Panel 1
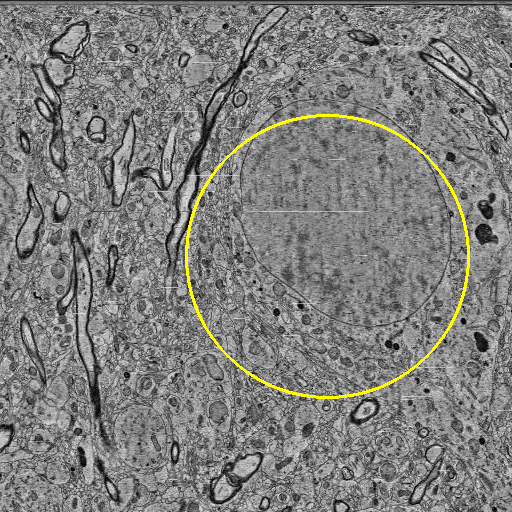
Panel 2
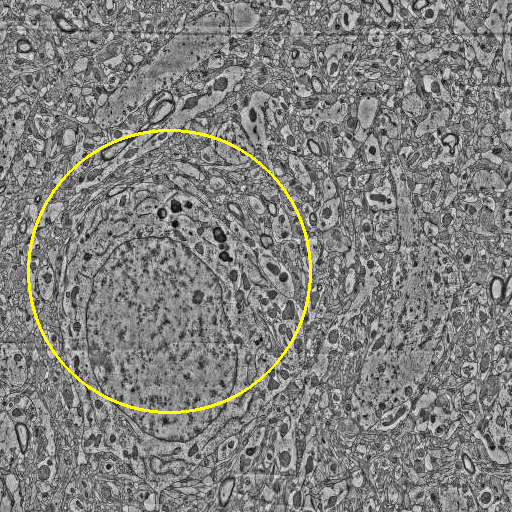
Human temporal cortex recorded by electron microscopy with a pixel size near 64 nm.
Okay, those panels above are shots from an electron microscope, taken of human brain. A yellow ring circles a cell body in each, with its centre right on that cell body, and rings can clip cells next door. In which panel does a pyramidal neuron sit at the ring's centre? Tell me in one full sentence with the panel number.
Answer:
The cell you asked for sits at the ring's centre in panel 1.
